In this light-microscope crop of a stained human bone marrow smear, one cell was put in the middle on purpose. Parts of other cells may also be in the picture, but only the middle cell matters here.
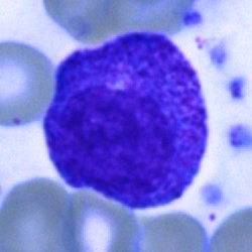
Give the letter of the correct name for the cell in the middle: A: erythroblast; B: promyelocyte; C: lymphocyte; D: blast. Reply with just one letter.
B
